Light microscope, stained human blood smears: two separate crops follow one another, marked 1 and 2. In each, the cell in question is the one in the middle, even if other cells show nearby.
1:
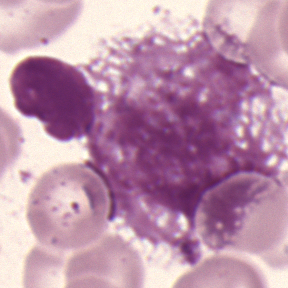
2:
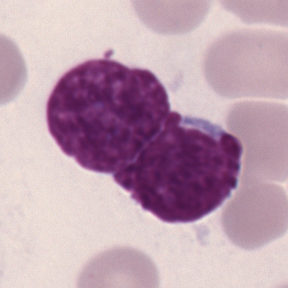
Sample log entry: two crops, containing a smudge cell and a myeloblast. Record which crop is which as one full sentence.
Crop 1 presents a smudge cell, and crop 2 presents a myeloblast.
